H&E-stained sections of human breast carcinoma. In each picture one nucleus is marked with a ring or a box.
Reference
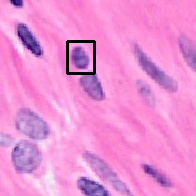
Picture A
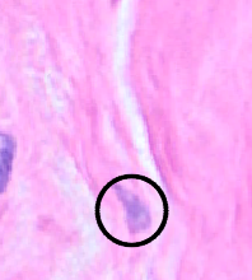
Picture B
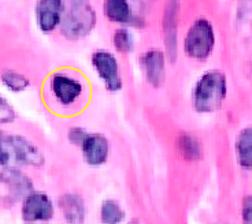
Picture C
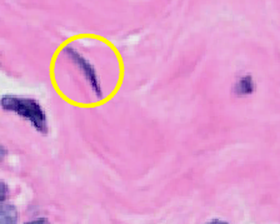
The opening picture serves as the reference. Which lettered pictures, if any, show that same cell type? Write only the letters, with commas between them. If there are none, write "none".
B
